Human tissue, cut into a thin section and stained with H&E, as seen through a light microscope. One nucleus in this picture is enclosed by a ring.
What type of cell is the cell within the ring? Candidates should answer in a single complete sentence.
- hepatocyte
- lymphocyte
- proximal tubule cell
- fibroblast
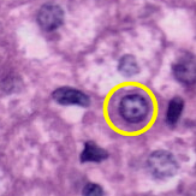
The identity of the cell within the ring is that of a hepatocyte.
